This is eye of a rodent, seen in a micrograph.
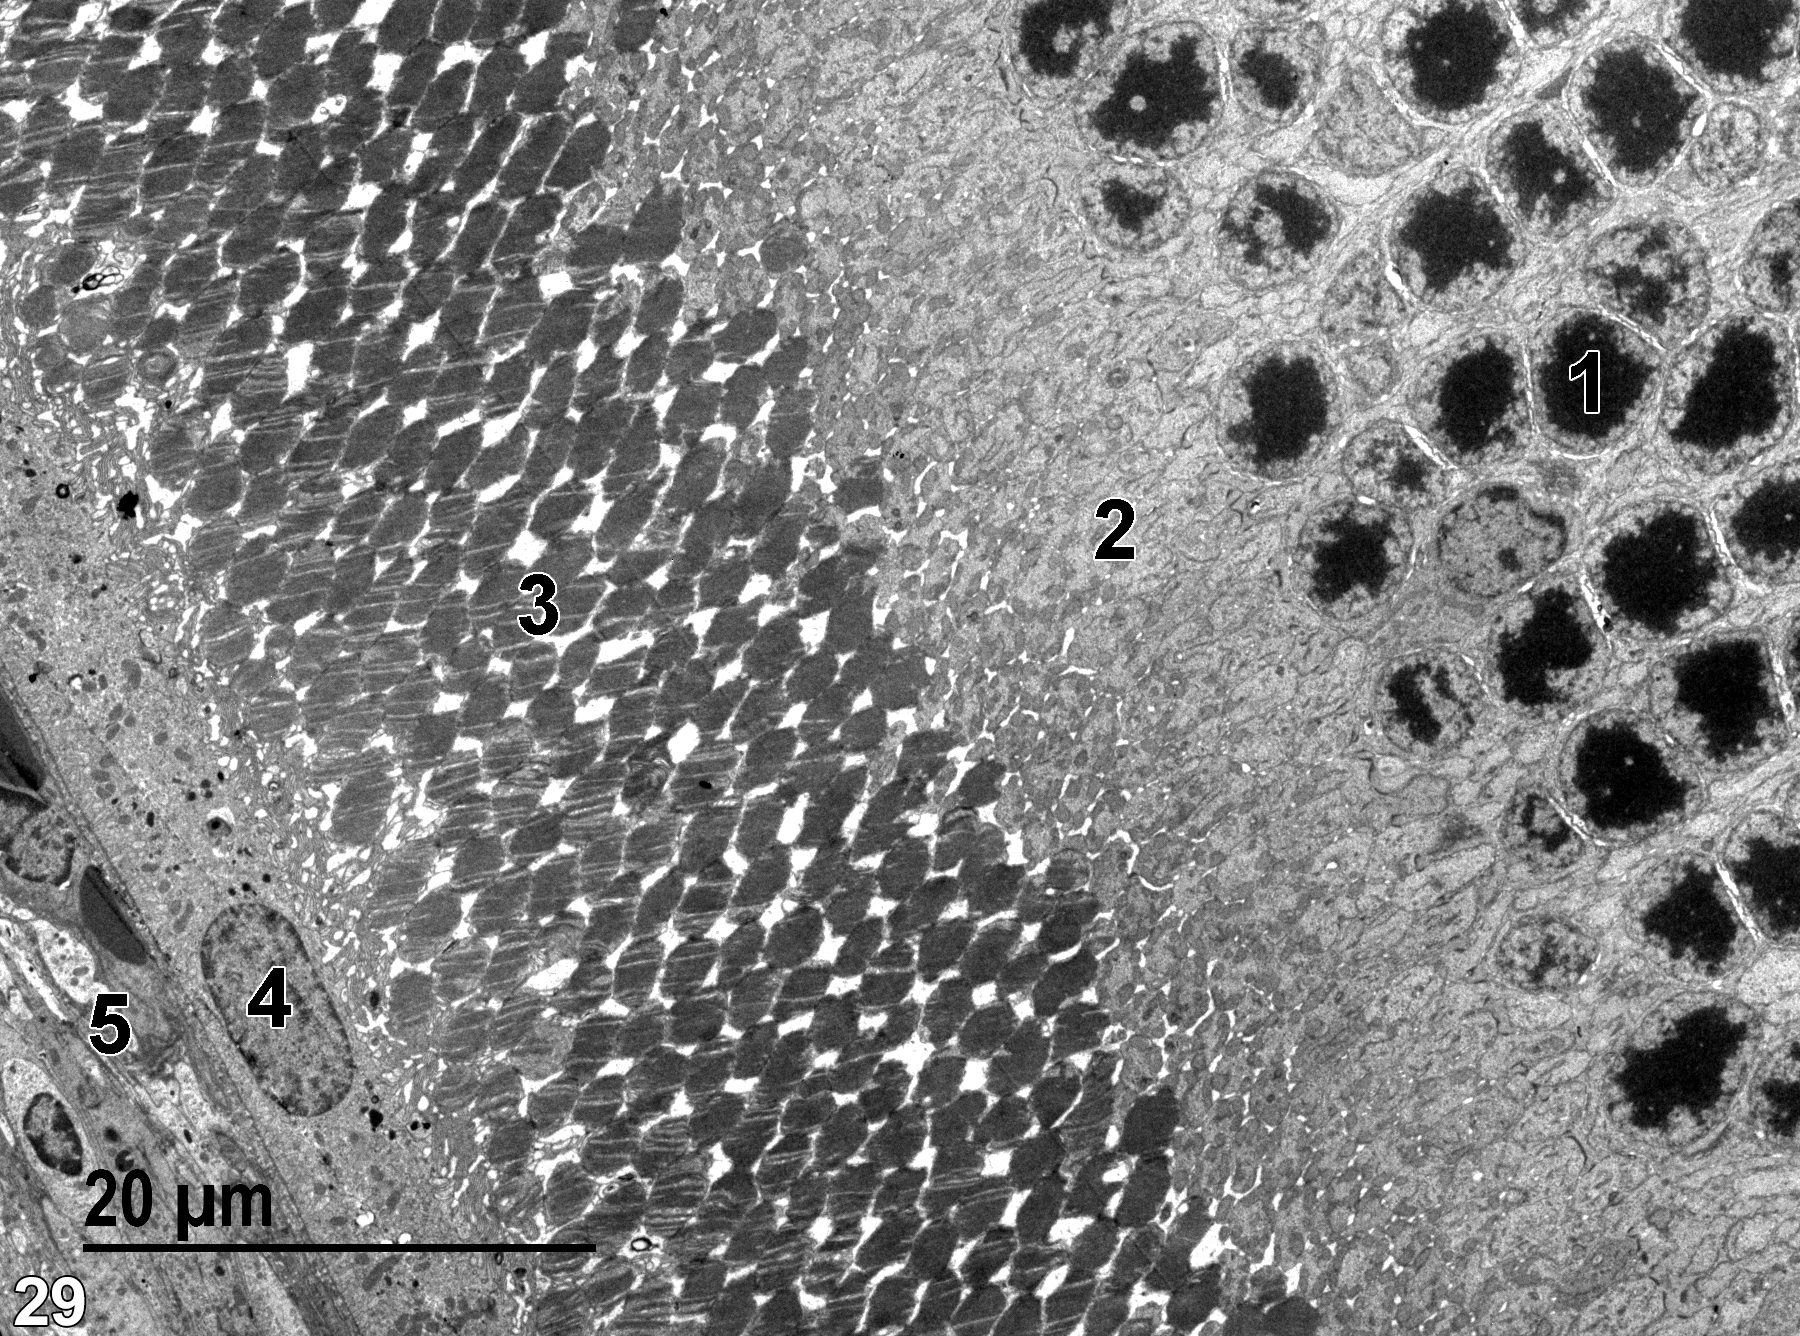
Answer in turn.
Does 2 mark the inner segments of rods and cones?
Yes, 2 marks the inner segments of rods and cones.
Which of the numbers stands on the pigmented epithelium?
4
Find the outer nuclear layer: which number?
The outer nuclear layer: 1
